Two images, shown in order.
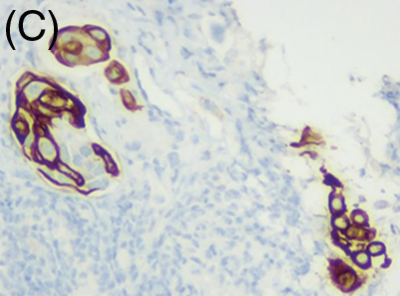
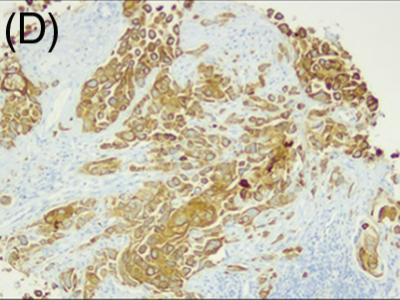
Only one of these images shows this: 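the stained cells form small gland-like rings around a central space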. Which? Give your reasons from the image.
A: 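Second image: brown-stained cells form broad solid sheets and nests.
Hence: the first image.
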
